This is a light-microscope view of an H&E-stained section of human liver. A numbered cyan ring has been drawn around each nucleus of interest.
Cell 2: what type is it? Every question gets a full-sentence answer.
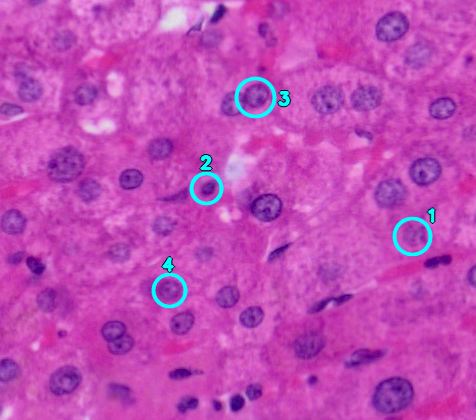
The cell tagged with 2 in this tissue section is a lymphocyte.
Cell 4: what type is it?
That cell with number 4 is a hepatocyte.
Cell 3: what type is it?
The cell to which the number 3 is assigned is a hepatocyte.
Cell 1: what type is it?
Among the marked nuclei, number 1 belongs to a hepatocyte.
